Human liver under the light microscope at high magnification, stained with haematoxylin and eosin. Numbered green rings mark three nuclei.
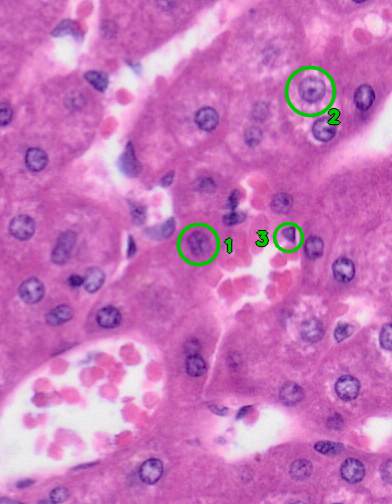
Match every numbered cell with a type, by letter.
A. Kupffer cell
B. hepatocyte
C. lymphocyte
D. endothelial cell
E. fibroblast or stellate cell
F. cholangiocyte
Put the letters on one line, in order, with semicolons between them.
B; B; E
